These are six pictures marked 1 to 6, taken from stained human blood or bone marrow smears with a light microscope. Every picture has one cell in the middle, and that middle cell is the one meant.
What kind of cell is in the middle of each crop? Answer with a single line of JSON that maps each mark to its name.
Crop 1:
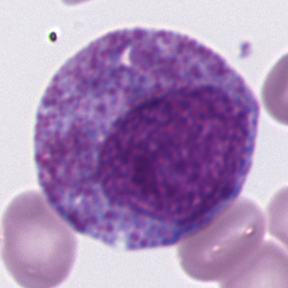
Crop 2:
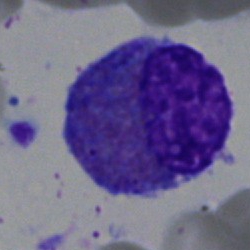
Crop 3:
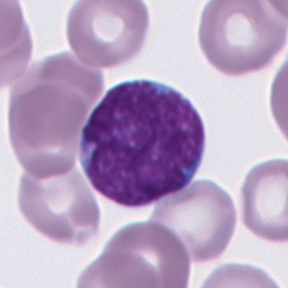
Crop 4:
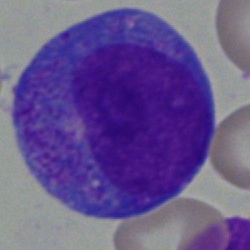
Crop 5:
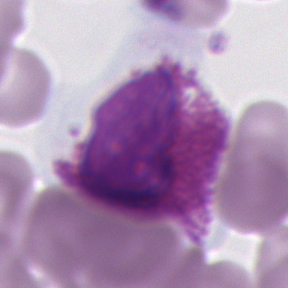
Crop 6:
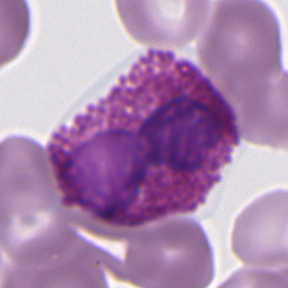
{"1": "promyelocyte", "2": "eosinophil", "3": "blast", "4": "promyelocyte", "5": "eosinophil", "6": "eosinophil"}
